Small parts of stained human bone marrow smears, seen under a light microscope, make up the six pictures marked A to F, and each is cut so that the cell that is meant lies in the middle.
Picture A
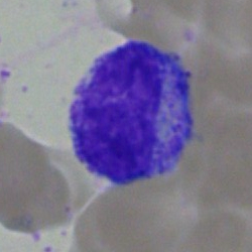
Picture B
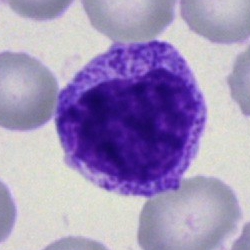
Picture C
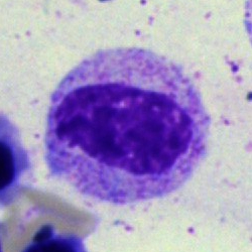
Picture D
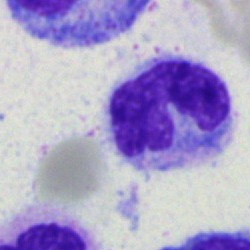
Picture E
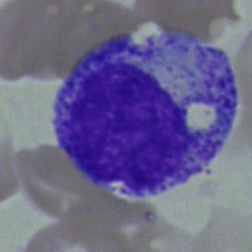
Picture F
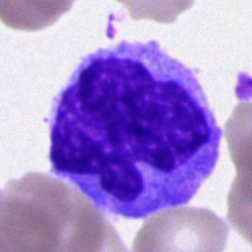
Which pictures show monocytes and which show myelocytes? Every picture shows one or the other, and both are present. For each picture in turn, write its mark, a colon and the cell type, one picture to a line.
A: myelocyte
B: myelocyte
C: myelocyte
D: monocyte
E: myelocyte
F: monocyte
